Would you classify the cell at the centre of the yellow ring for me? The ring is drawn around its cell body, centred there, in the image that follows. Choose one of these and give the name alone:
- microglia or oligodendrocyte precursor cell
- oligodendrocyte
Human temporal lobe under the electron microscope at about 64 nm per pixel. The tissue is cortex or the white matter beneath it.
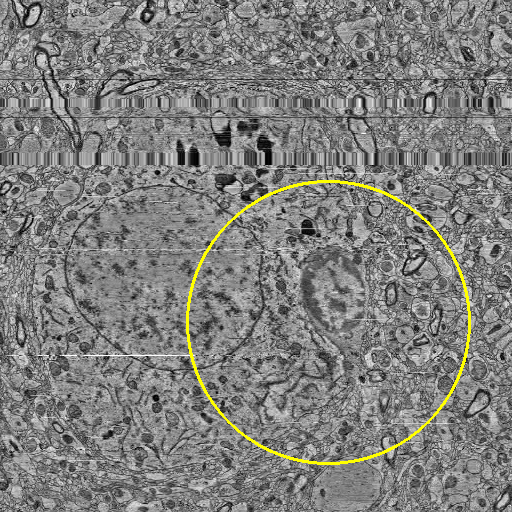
oligodendrocyte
